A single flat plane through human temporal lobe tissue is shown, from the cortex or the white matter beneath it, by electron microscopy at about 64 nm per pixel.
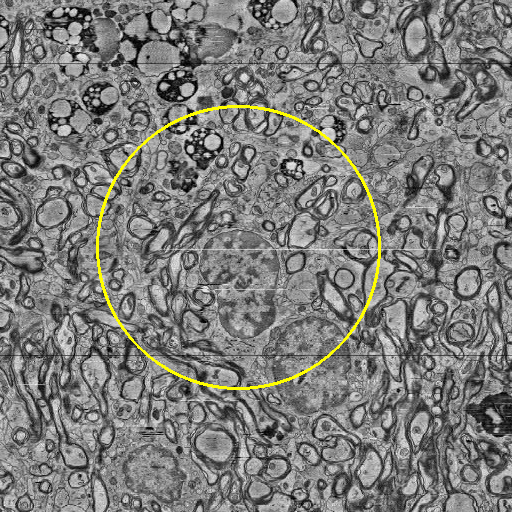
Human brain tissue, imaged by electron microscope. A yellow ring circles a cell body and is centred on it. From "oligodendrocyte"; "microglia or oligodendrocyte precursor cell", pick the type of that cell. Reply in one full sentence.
The cell body at the centre of the yellow ring belongs to a microglial cell or oligodendrocyte precursor cell.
